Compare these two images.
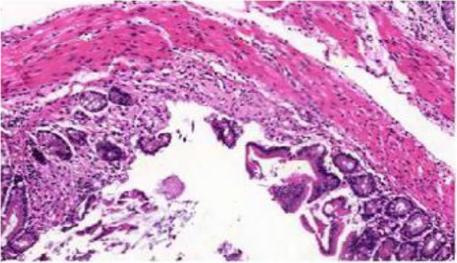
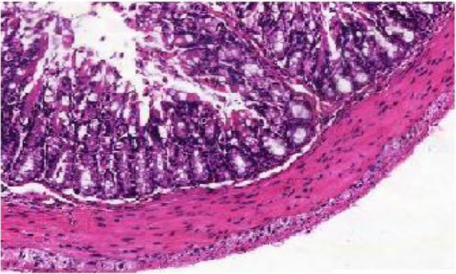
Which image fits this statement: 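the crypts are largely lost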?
The first image.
